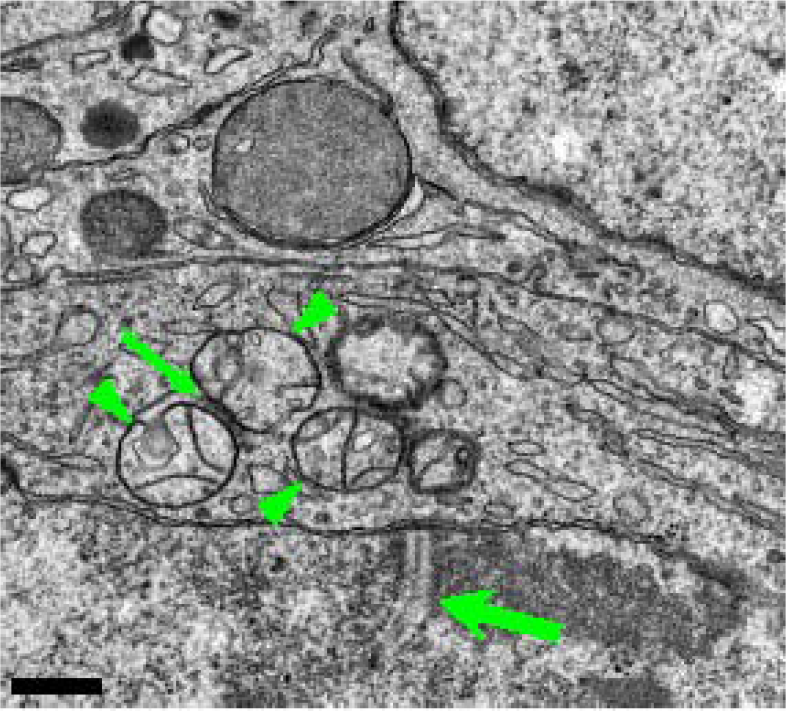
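This high-magnification electron micrograph of a primary spermatocyte shows a group of mitochondria that are swollen and round, with pale interiors crossed by only a few thin irregular cristae. Dense material between them corresponds to intermitochondrial cement. In the nucleus below, a thin linear synaptonemal complex runs toward the nuclear envelope.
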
